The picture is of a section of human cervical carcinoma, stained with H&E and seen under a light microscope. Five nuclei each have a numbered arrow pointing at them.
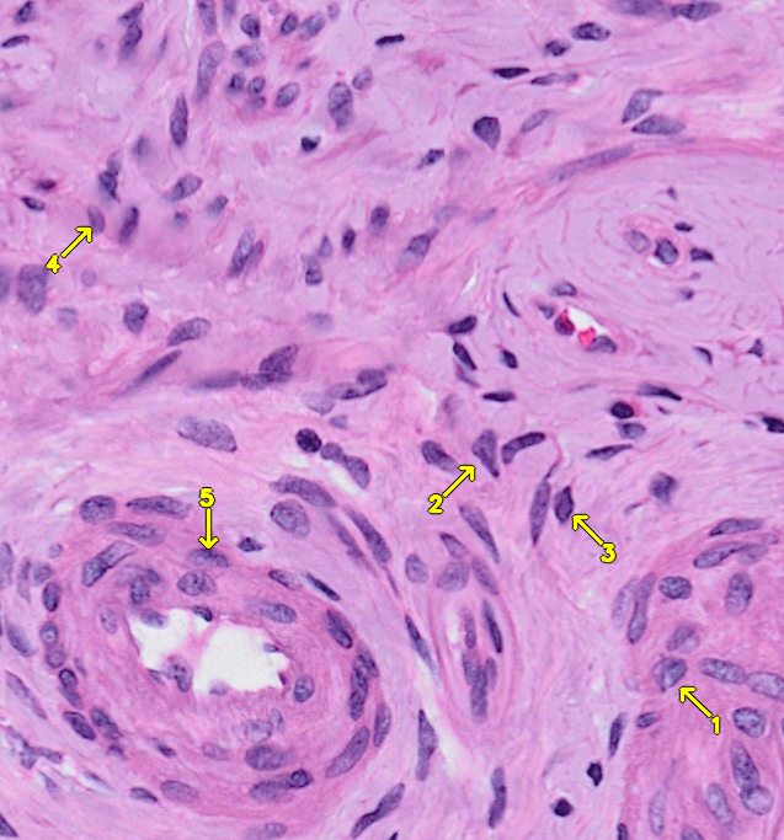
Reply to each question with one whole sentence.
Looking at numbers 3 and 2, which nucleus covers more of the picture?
Number 2 is larger; its area is about 1.5 times that of number 3.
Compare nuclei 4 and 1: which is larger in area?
Nucleus 1 is the larger one, covering about 2.5 times the area of nucleus 4.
